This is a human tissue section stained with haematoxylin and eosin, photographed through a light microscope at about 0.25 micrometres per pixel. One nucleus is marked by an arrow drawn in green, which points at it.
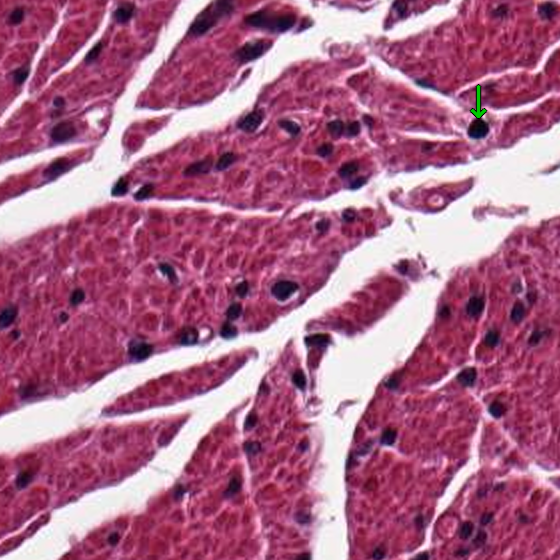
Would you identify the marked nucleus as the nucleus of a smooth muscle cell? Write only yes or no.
no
